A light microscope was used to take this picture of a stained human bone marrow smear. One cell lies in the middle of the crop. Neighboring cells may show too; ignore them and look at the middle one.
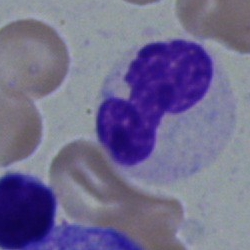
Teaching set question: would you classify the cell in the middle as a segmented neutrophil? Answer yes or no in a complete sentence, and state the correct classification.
No, the middle cell is classified as a band neutrophil and not as a segmented neutrophil.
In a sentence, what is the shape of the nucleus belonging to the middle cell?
One defining trait here is a nucleus of two or more segments.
